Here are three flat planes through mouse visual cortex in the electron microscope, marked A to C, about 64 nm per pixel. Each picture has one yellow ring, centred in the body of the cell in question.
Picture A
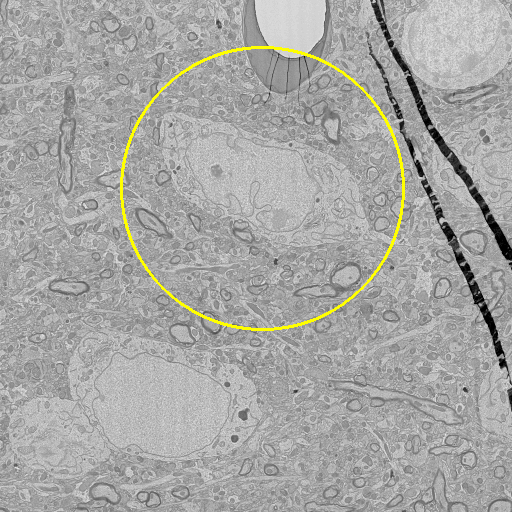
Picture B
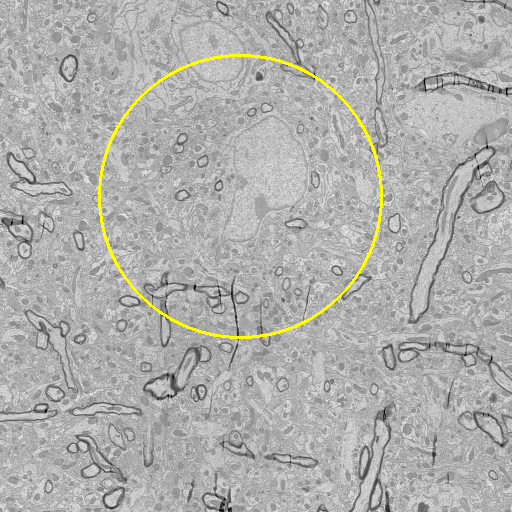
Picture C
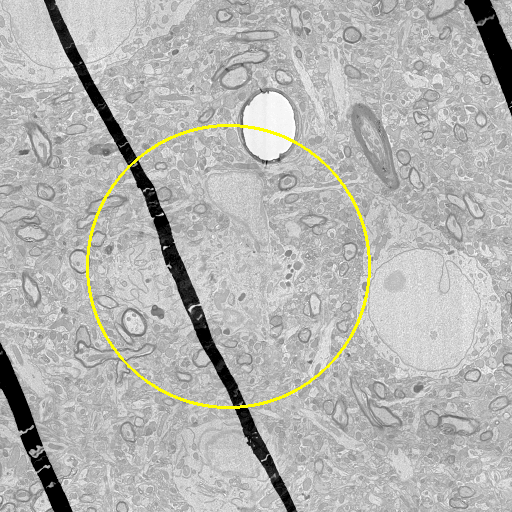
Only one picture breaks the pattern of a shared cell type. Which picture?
The different one is picture A; it shows an inhibitory neuron, whereas all the others show oligodendrocyte precursor cells.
